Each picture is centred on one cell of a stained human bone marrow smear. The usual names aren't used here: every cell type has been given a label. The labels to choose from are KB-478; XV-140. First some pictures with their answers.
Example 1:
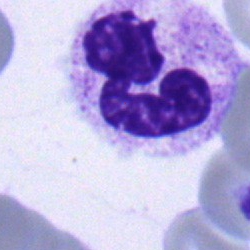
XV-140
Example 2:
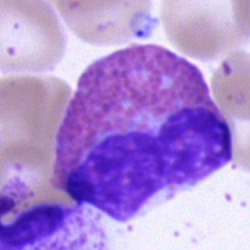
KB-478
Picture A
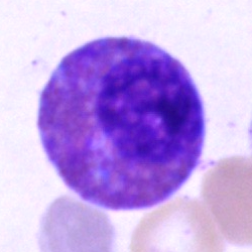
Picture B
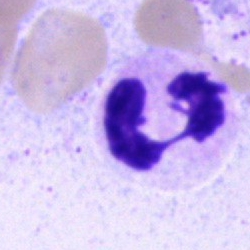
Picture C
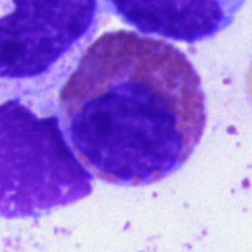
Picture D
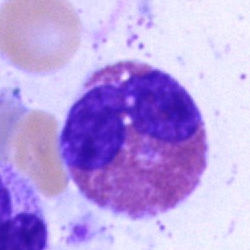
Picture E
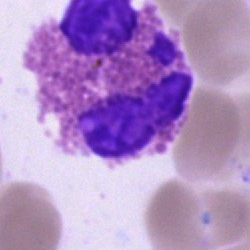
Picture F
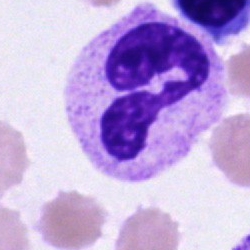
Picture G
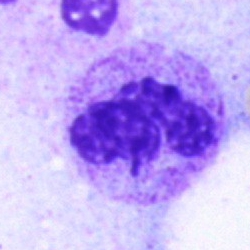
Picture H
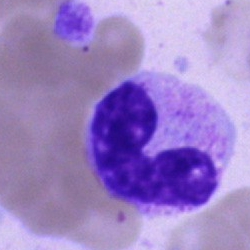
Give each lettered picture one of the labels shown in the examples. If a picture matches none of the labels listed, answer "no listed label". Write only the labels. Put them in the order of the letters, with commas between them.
KB-478, XV-140, KB-478, KB-478, KB-478, XV-140, XV-140, no listed label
